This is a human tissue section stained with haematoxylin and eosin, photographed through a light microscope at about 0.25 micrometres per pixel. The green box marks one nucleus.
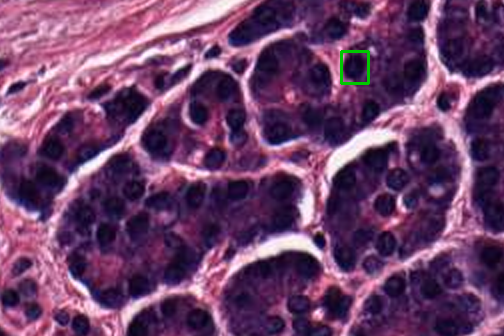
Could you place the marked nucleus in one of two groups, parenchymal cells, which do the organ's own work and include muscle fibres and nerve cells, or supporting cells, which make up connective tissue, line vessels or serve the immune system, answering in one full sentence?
In this section the marked nucleus belongs to a parenchymal cell, namely a pancreatic acinar cell.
